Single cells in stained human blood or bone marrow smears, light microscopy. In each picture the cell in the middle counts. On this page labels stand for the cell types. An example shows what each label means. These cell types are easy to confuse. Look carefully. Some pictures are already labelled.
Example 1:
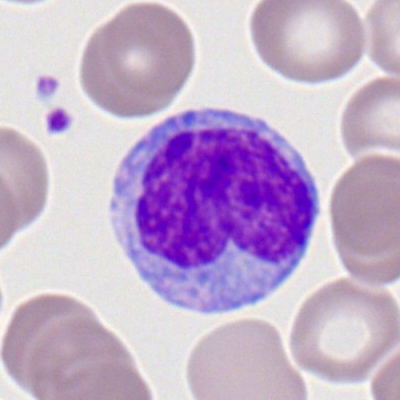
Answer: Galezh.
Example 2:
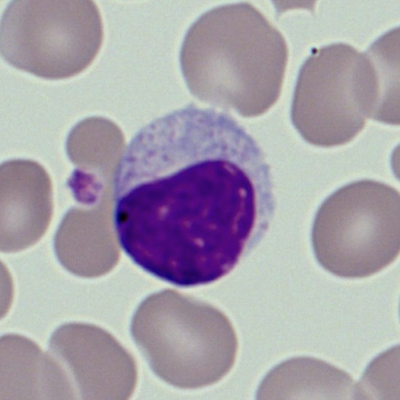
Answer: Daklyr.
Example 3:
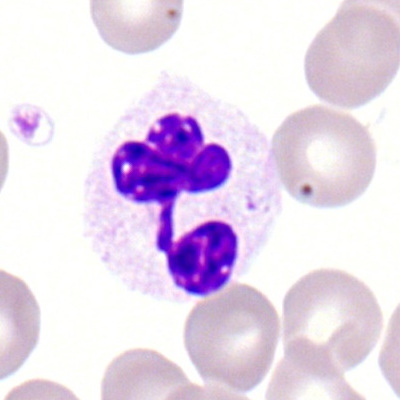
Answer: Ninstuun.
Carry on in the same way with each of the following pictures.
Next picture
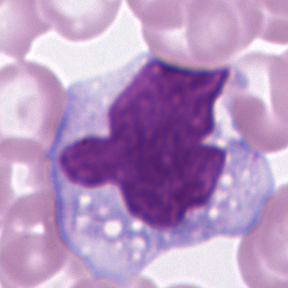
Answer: Galezh.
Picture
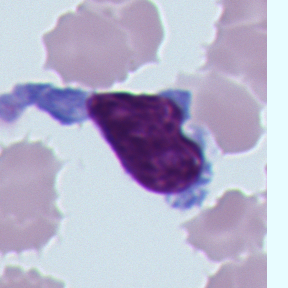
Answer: Daklyr.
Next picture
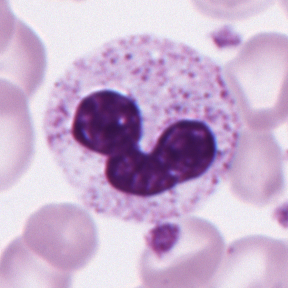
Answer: Ninstuun.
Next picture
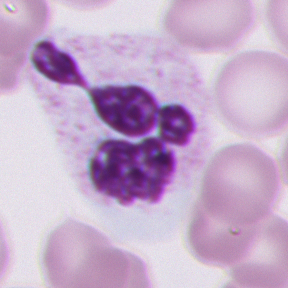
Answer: Ninstuun.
